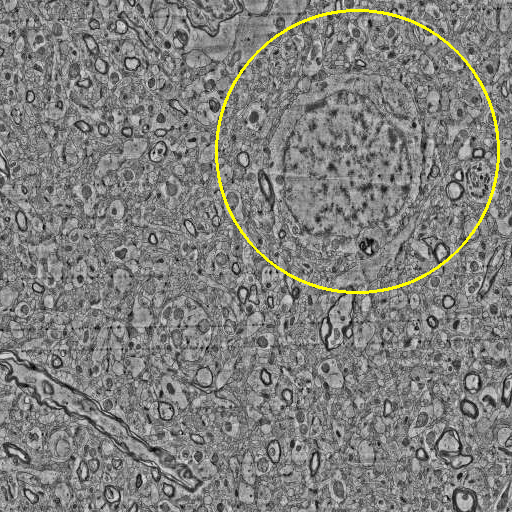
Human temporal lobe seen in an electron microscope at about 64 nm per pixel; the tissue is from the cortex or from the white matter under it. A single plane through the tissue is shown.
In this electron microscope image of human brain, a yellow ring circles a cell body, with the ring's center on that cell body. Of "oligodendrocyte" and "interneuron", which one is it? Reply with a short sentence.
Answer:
It is an interneuron at the center of the ring.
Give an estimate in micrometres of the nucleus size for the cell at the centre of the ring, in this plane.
In this plane the nucleus measures roughly 10 by 9 micrometres.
